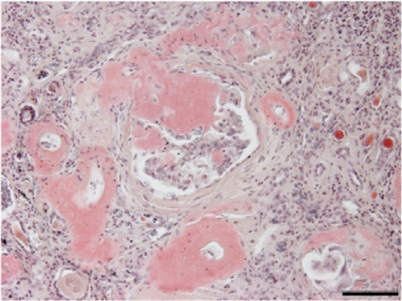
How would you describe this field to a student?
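Kidney tissue with salmon-red homogeneous deposits filling glomeruli and encasing small vessels. A central glomerulus shows a collapsed tuft with clefts surrounded by a layered capsule, beside deposits that stain red. Small arterioles have thickened red-staining walls. The interstitium between them is densely populated with small dark nuclei.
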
